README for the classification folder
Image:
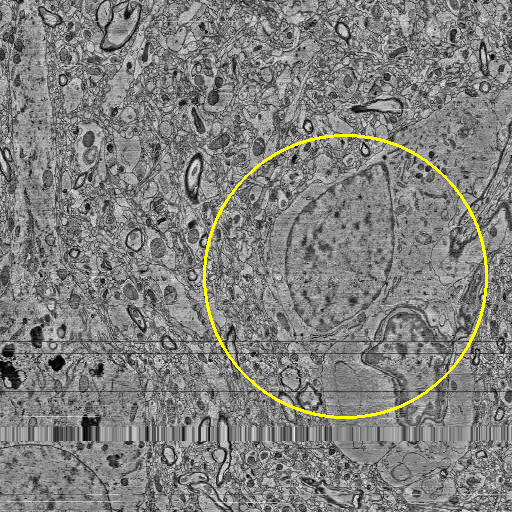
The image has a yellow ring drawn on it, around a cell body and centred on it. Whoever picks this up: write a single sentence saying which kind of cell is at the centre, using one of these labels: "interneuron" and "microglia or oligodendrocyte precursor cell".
This cell body is that of a microglial cell or oligodendrocyte precursor cell.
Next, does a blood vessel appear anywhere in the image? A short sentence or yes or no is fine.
Yes.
